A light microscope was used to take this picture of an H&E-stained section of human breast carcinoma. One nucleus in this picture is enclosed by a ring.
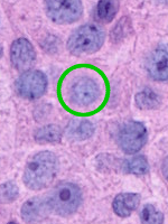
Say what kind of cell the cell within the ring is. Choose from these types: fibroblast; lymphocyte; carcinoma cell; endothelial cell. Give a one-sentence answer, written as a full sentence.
Recorded by type, the cell within the ring is a carcinoma cell.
